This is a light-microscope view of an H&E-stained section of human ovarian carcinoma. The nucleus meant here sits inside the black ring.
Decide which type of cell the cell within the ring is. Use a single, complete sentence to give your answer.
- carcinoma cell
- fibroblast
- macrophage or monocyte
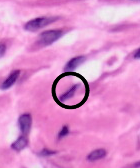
Within the stained tissue, the cell within the ring is a fibroblast.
